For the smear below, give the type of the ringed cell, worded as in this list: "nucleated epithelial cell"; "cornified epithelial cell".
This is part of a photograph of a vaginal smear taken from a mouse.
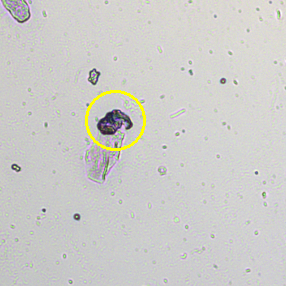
cornified epithelial cell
